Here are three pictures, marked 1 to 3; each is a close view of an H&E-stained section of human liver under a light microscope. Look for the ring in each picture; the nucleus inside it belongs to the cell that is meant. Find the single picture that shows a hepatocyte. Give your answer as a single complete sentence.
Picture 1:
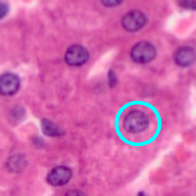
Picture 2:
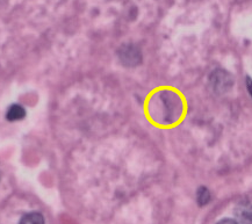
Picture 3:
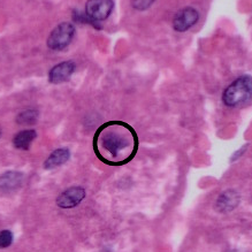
Picture 1 is the one that shows the hepatocyte.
